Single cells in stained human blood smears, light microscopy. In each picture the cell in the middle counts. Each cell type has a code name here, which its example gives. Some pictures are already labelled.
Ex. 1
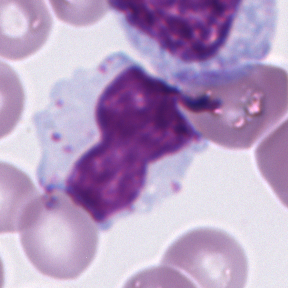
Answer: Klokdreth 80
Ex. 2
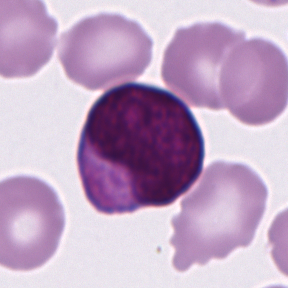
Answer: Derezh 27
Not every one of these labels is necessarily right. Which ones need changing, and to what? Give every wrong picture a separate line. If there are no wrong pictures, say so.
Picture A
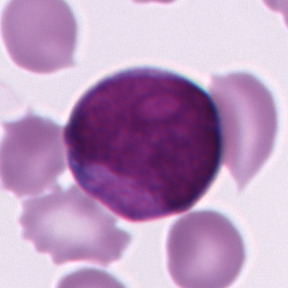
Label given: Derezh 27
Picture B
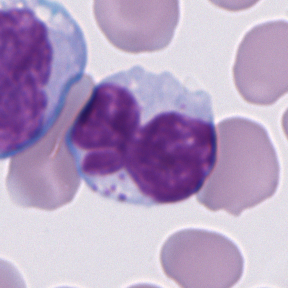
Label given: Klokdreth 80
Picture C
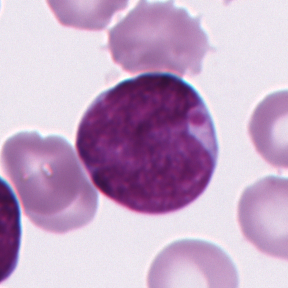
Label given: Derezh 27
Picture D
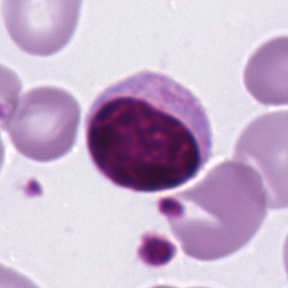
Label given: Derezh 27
D: not Derezh 27 but Klokdreth 80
